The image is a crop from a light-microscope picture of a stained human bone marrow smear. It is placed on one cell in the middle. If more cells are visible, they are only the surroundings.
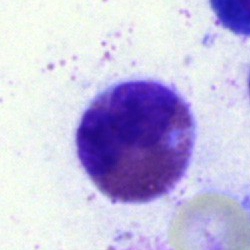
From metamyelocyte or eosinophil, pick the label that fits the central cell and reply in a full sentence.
The central cell shown in this smear crop is an eosinophil.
